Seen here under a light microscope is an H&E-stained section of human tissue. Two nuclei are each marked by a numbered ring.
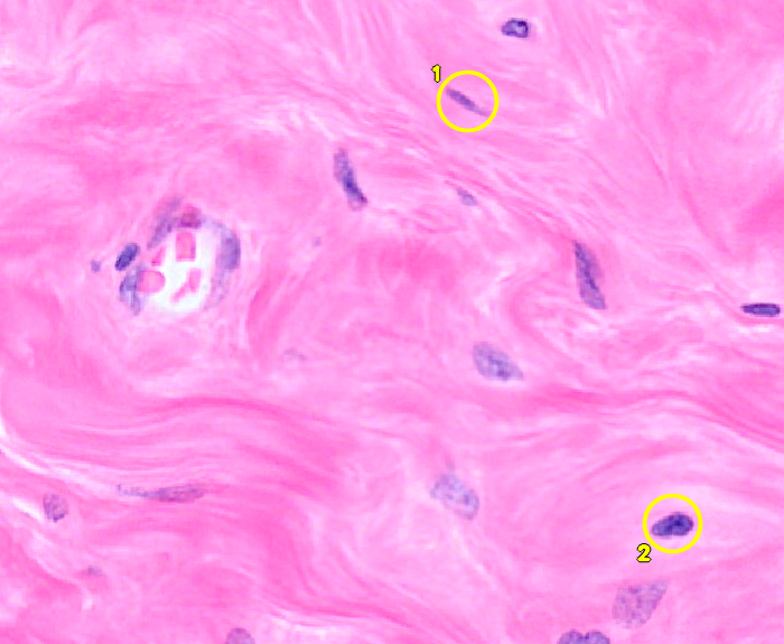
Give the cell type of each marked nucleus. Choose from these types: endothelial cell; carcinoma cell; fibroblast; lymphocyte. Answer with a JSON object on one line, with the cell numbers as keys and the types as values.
{"1": "fibroblast", "2": "lymphocyte"}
